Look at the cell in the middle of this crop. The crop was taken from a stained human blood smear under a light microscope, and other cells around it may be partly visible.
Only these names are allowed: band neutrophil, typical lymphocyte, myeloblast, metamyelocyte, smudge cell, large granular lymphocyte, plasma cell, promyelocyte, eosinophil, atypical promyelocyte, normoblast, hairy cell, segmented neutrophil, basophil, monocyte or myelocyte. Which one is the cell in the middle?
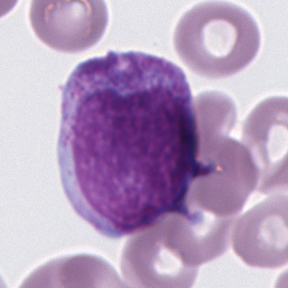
atypical promyelocyte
